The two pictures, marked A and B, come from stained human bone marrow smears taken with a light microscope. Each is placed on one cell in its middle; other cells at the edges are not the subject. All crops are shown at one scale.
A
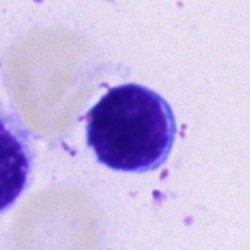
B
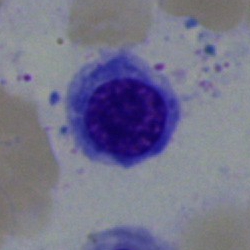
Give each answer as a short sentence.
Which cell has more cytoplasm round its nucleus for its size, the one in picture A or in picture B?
In picture B the nucleus takes up the smaller part of its cell.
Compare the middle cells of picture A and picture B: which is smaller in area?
Smaller is the cell in picture A, and the other is about 1.5 times as large in area.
